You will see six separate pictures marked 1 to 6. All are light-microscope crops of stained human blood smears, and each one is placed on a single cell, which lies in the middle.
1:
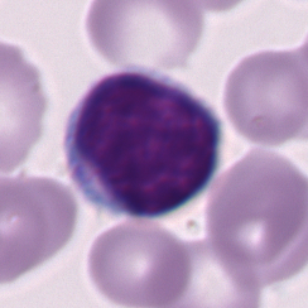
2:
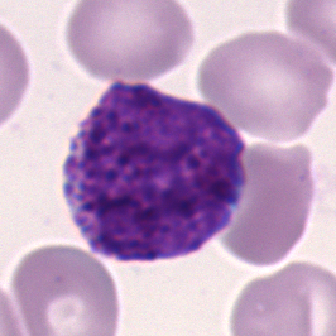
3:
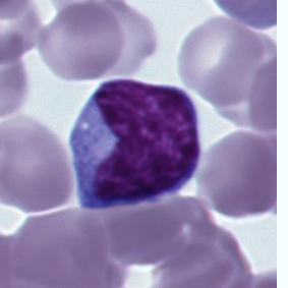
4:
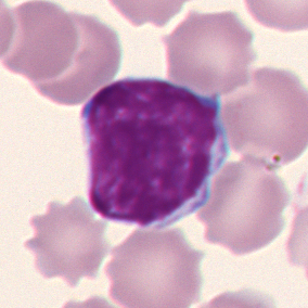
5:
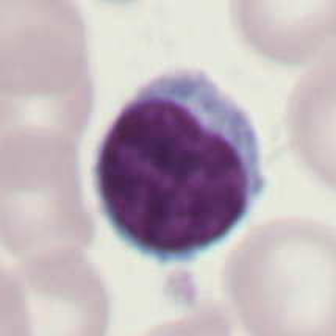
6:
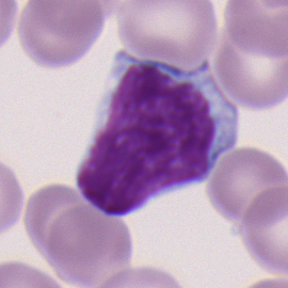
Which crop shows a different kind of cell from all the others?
2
